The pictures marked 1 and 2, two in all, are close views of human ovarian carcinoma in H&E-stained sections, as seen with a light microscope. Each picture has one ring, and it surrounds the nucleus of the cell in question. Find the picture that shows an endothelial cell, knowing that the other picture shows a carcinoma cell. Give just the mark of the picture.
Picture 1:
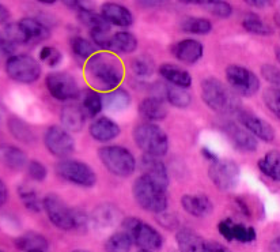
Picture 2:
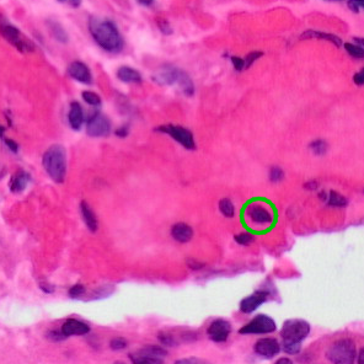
2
